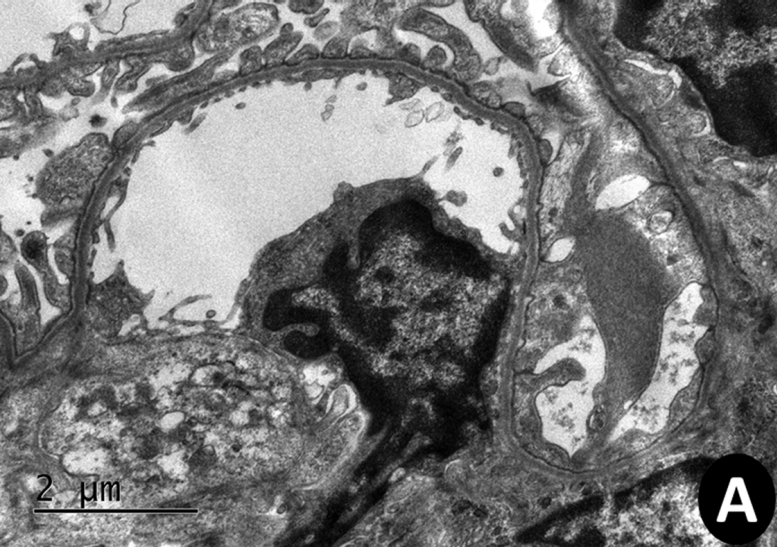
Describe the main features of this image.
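This is a glomerulus seen under the electron microscope, showing an open capillary loop lined by a thin, even basement membrane. A cell with a dark, irregularly lobed nucleus lies against the inner side of the loop. Its nucleus has clumped dark chromatin at the edge and paler chromatin in the centre. To the right, an adjacent loop holds a dense, elongated grey profile within its lumen.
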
